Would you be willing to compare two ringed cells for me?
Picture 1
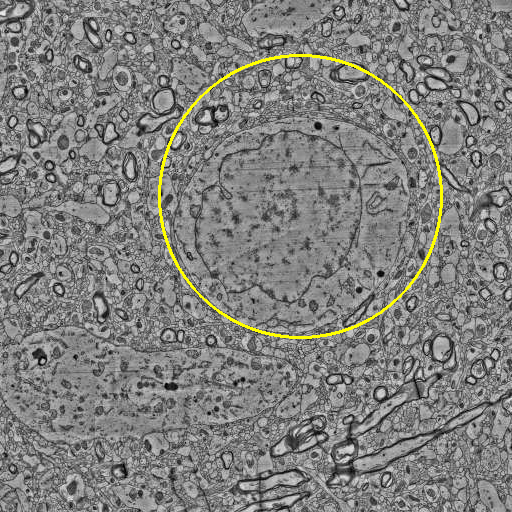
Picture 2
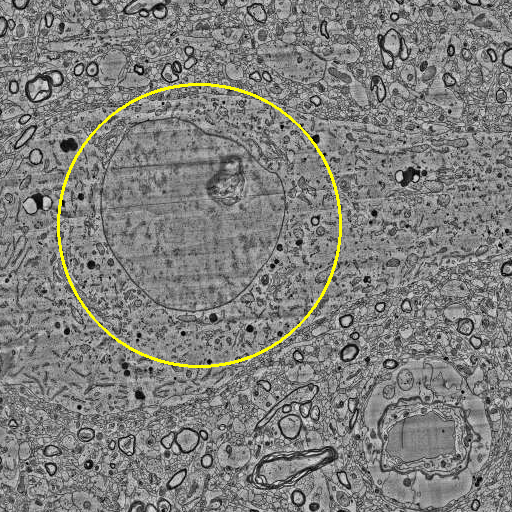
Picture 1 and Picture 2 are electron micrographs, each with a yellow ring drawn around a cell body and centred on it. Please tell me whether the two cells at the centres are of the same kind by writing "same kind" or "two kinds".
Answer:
same kind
